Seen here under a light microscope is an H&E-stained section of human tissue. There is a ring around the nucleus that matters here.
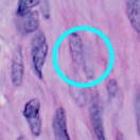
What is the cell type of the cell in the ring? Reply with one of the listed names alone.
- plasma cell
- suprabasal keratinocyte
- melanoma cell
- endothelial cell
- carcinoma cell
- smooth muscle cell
smooth muscle cell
